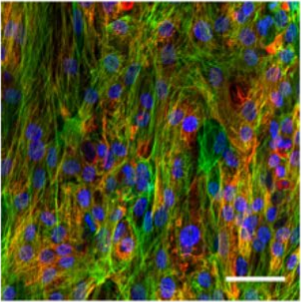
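This is a dense monolayer of cells covering the whole field. Oval blue nuclei are scattered closely throughout, with no empty background between the cells. Green filament bundles run through the cytoplasm, many of them tending in a similar, roughly vertical direction. Red staining is spread through the cytoplasm between the nuclei, mixing with the green in places.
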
